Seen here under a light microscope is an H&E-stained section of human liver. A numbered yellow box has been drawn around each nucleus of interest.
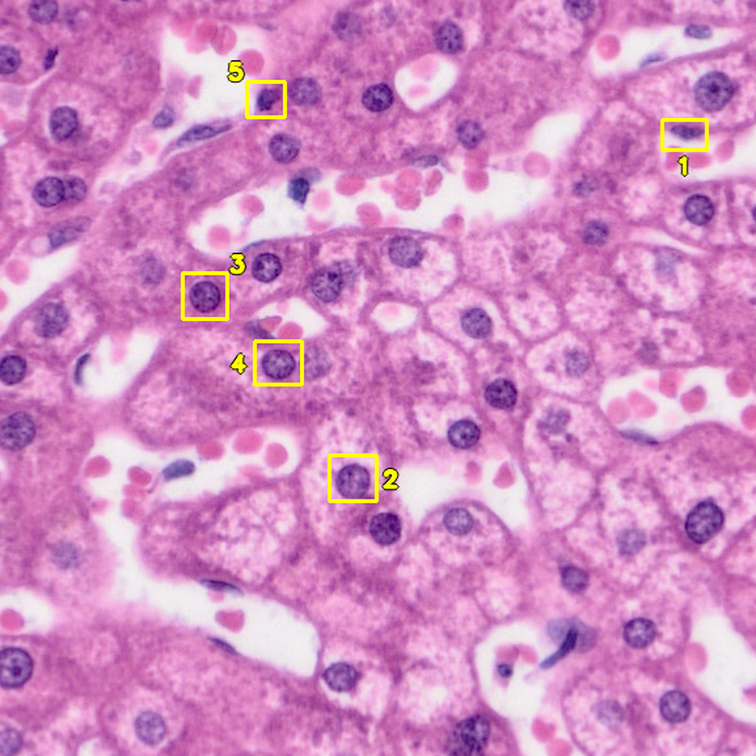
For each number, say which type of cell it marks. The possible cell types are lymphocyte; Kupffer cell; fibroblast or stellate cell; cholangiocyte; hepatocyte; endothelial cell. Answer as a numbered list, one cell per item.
1. endothelial cell
2. hepatocyte
3. hepatocyte
4. hepatocyte
5. fibroblast or stellate cell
